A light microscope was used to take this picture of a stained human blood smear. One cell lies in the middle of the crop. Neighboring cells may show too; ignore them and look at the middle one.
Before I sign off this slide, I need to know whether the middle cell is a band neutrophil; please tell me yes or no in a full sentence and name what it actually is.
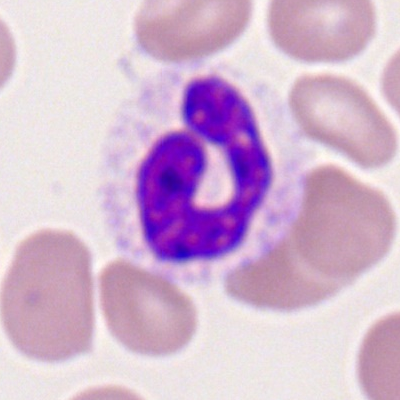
Yes, the middle cell of the field is a band neutrophil.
